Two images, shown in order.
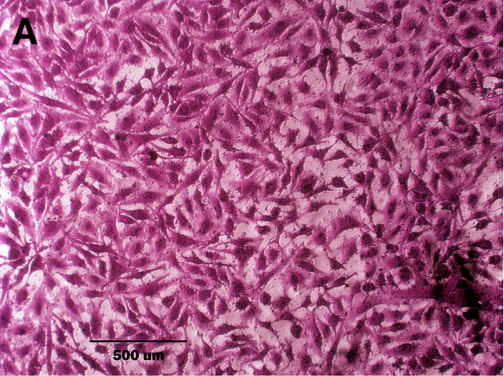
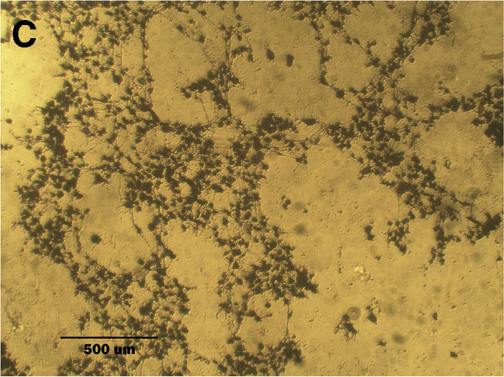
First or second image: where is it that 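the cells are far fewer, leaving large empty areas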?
The second image.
